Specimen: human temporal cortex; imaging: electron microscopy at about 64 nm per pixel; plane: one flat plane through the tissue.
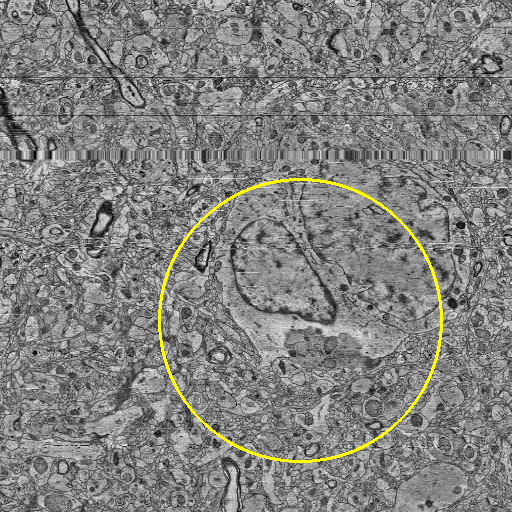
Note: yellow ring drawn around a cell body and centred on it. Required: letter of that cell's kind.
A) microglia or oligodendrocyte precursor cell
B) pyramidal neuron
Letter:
A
